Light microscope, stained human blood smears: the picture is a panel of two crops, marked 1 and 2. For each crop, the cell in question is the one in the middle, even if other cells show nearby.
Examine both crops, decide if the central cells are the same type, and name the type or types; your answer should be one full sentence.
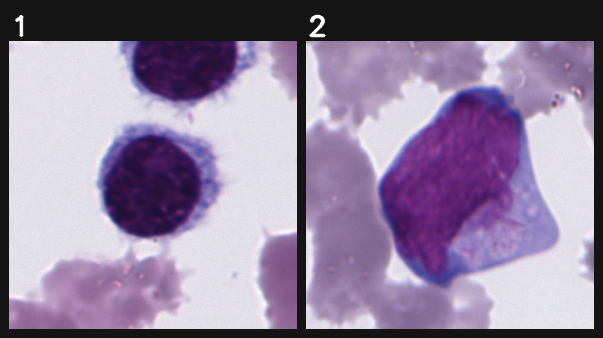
No, a blast is depicted in crop 2, whereas a hairy cell is depicted in crop 1.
